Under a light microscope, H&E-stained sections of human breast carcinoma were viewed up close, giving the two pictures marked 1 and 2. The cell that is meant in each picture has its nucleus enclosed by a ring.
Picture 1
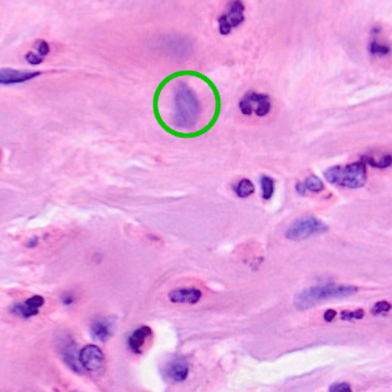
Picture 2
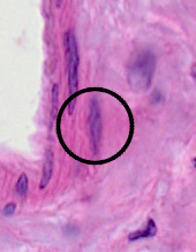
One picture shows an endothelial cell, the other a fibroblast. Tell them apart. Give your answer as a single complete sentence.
In picture 1 the cell is a fibroblast; in picture 2, an endothelial cell.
